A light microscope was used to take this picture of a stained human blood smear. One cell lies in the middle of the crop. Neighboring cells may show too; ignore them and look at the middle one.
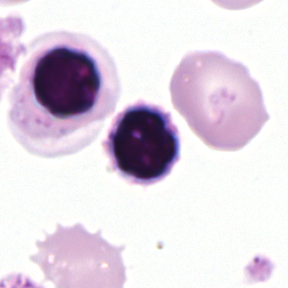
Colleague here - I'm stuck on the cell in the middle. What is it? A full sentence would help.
The cell shown in the center of this light-microscope crop is a normoblast.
